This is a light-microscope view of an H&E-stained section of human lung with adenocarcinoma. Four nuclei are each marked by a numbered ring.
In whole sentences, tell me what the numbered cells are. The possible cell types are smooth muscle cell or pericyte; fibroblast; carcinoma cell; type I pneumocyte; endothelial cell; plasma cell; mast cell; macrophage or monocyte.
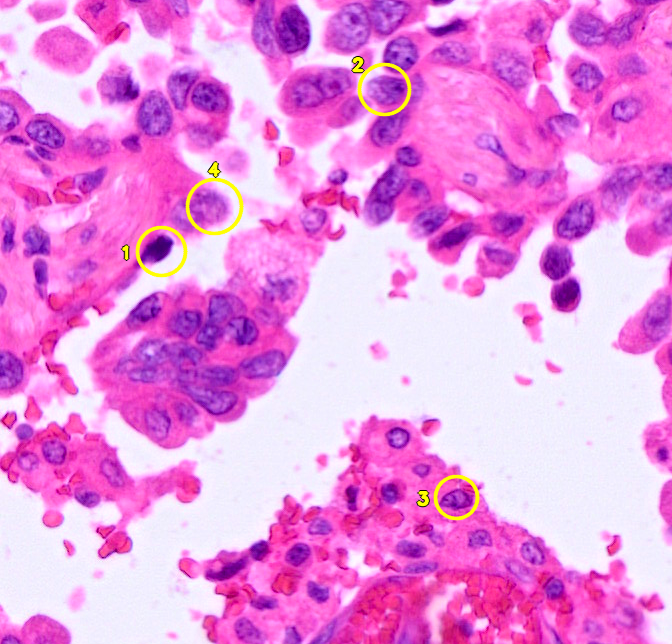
Cell 1 is a carcinoma cell, cell 2 is a carcinoma cell, cell 3 is a macrophage or monocyte and cell 4 is a carcinoma cell.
